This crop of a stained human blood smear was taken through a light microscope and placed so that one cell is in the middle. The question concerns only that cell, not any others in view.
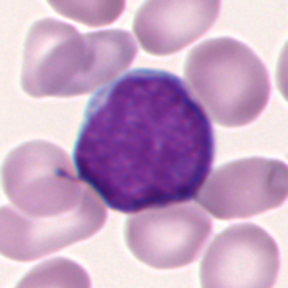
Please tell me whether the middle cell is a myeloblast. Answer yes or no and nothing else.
yes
